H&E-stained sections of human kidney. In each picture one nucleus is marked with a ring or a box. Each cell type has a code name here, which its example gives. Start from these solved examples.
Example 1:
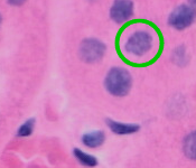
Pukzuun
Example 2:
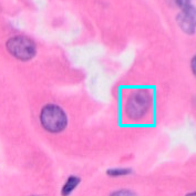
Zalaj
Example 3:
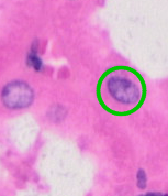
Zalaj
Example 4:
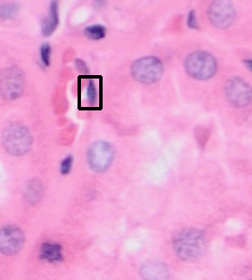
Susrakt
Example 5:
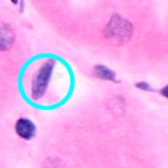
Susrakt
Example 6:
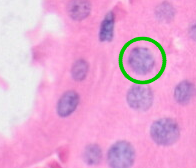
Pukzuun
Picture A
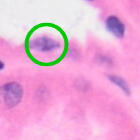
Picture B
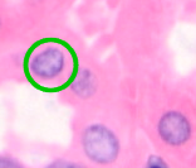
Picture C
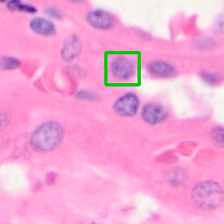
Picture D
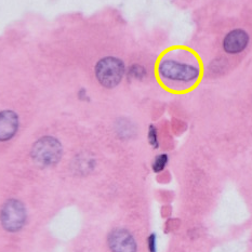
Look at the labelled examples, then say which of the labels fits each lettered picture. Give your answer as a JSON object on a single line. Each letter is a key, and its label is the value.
{"A": "Pukzuun", "B": "Pukzuun", "C": "Pukzuun", "D": "Zalaj"}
